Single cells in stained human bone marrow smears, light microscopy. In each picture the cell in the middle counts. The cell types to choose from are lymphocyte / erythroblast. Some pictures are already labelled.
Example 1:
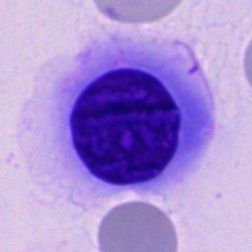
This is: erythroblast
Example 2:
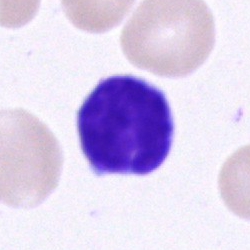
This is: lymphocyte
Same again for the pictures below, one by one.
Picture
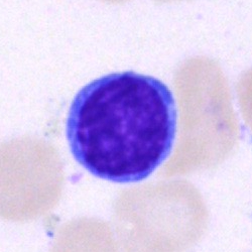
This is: lymphocyte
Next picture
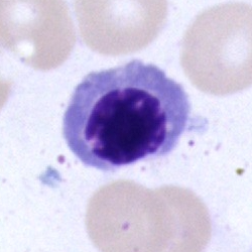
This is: erythroblast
